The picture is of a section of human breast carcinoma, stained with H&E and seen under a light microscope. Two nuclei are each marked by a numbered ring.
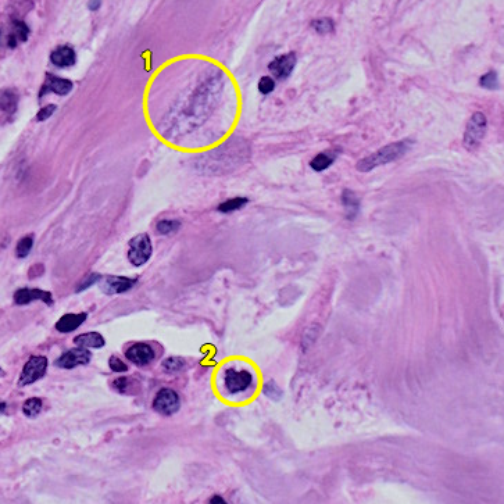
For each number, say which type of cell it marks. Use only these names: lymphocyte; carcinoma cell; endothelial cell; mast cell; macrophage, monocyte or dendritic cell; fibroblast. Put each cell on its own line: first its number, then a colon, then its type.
1: fibroblast
2: lymphocyte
